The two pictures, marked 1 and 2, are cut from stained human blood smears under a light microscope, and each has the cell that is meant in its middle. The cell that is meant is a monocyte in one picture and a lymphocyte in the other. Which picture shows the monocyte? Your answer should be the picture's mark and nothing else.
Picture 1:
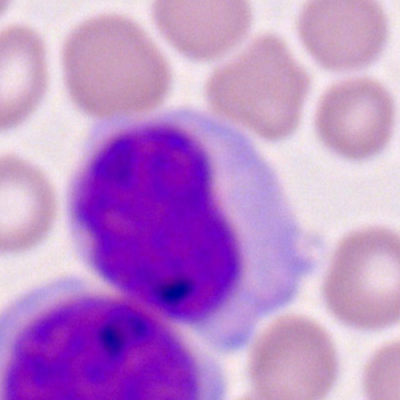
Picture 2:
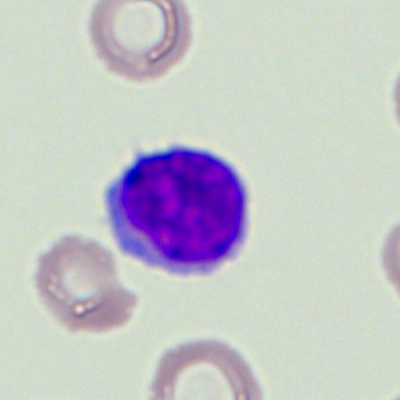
1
